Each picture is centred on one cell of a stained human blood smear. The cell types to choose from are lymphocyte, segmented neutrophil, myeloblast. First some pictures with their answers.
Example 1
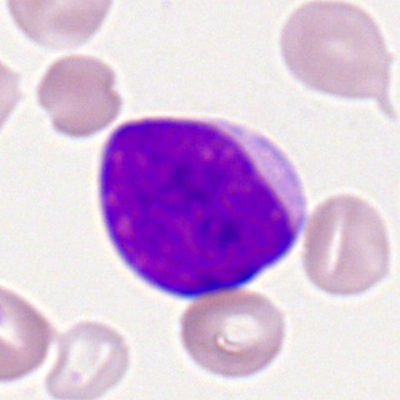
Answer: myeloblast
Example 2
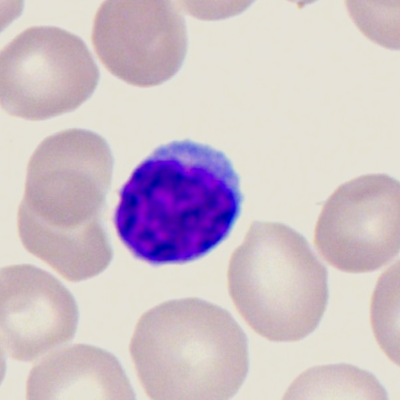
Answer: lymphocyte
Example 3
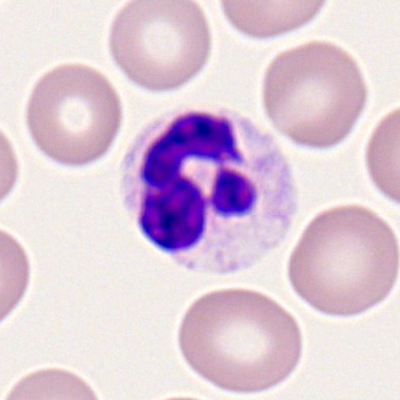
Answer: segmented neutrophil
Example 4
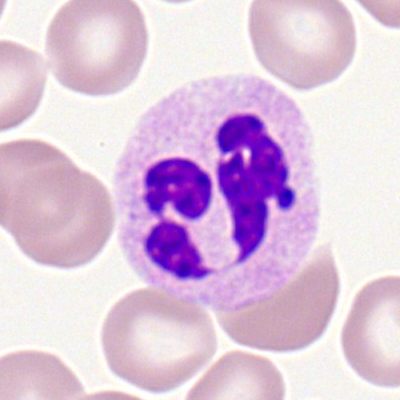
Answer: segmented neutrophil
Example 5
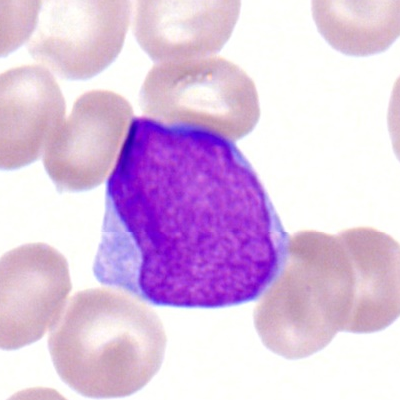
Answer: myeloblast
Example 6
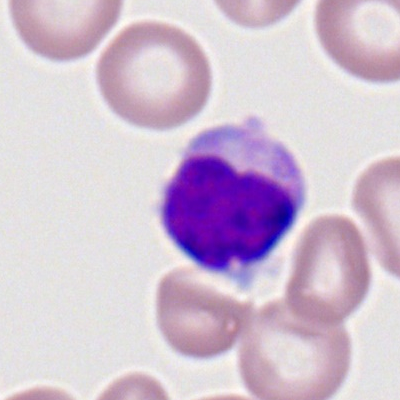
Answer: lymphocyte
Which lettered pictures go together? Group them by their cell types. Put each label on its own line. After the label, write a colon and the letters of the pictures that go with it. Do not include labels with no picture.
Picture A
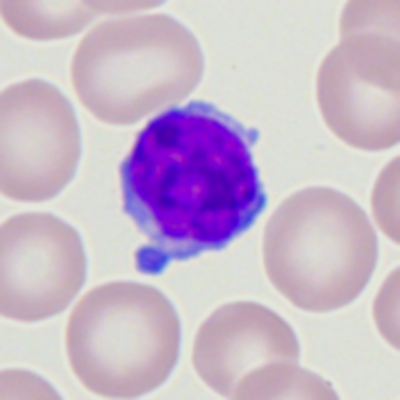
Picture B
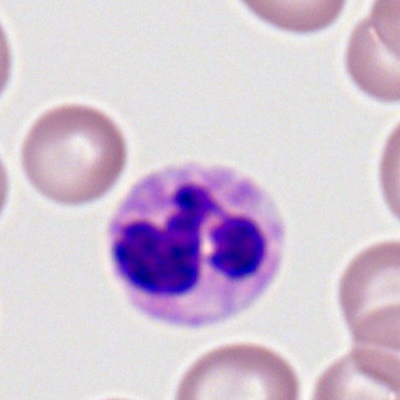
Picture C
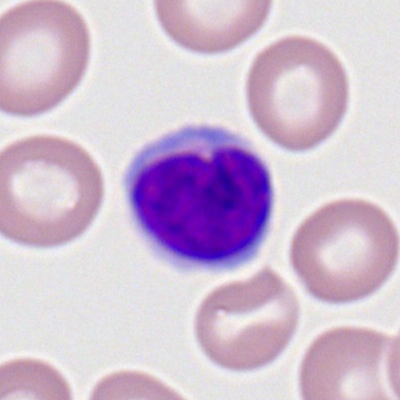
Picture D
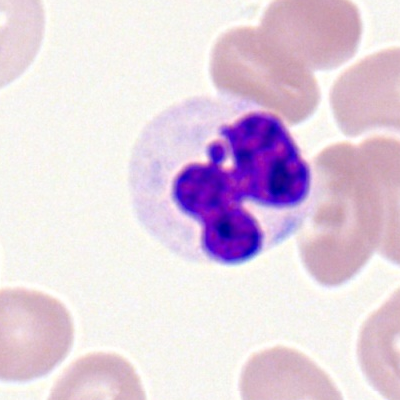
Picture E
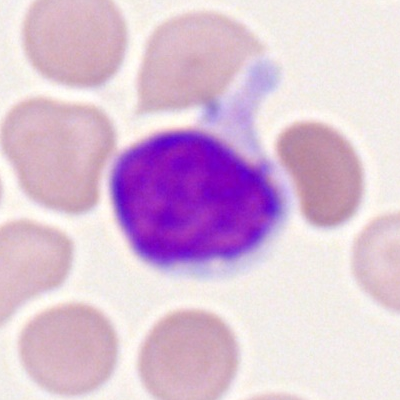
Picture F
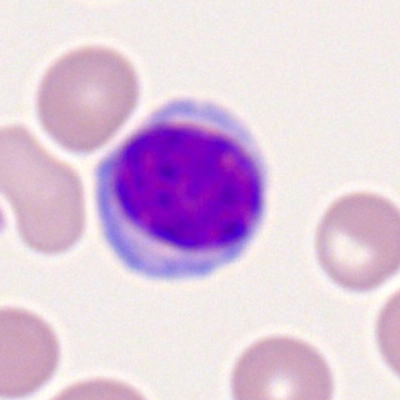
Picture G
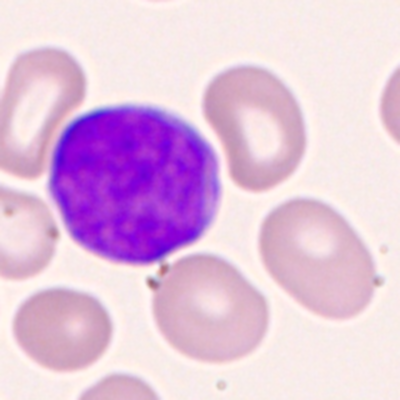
lymphocyte: A, C, E, F
segmented neutrophil: B, D
myeloblast: G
